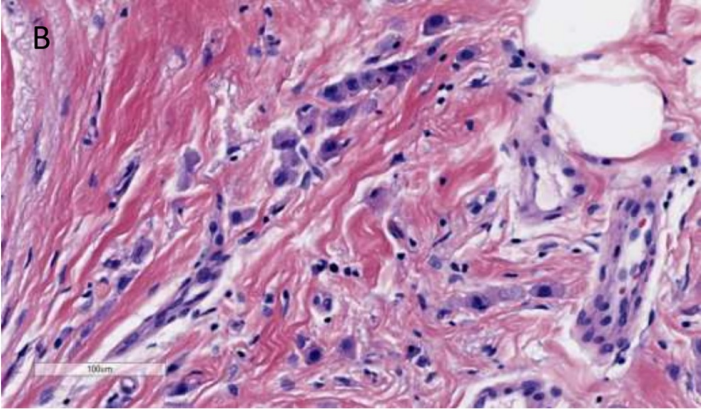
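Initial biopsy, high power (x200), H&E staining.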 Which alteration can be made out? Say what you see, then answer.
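Arranged in a single file. Atypical cells lie in thin linear rows between collagen bundles. Cells are not forming glands or solid sheets.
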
